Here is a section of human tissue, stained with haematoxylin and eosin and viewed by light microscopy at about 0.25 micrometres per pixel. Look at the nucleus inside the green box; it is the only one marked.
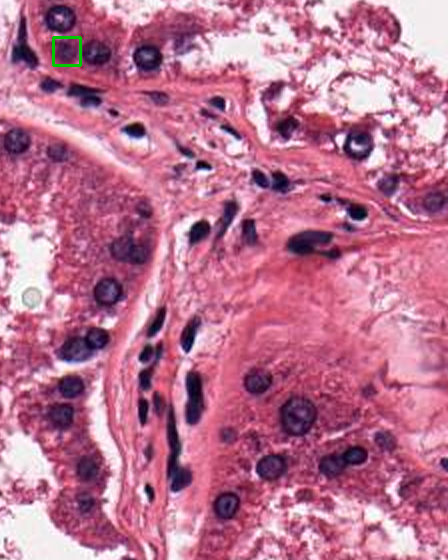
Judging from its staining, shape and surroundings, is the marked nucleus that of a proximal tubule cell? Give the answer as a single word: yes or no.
yes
